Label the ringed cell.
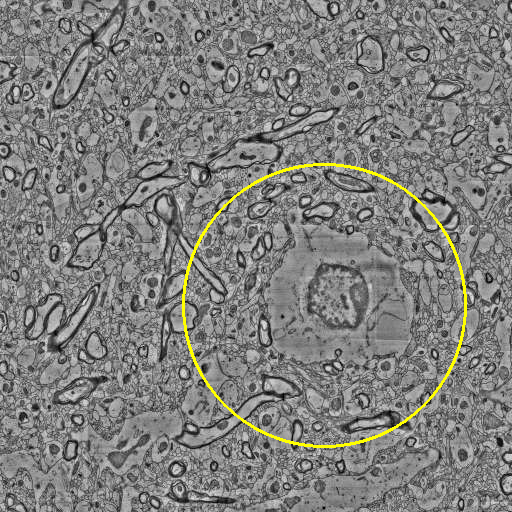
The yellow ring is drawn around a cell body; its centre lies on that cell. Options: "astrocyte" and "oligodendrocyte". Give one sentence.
The ringed cell is an astrocyte.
